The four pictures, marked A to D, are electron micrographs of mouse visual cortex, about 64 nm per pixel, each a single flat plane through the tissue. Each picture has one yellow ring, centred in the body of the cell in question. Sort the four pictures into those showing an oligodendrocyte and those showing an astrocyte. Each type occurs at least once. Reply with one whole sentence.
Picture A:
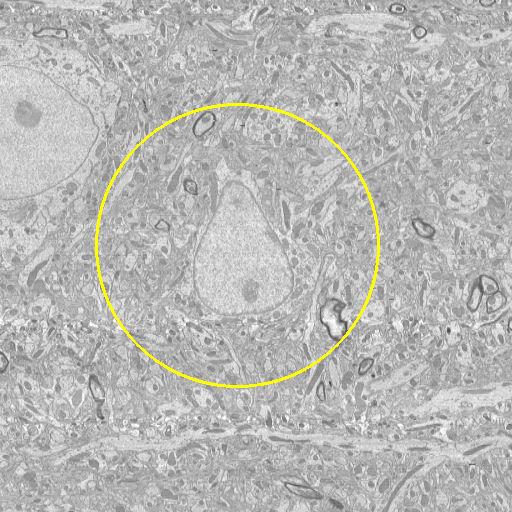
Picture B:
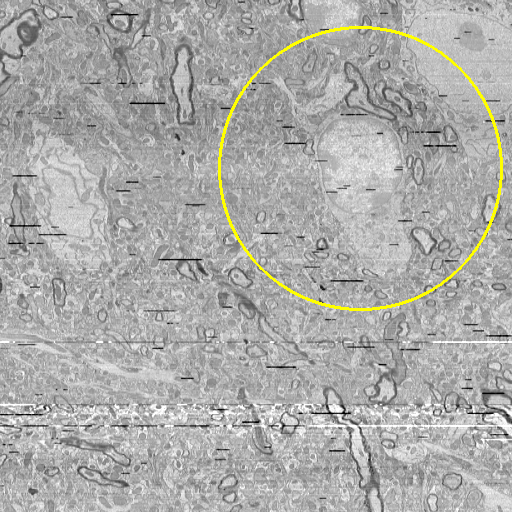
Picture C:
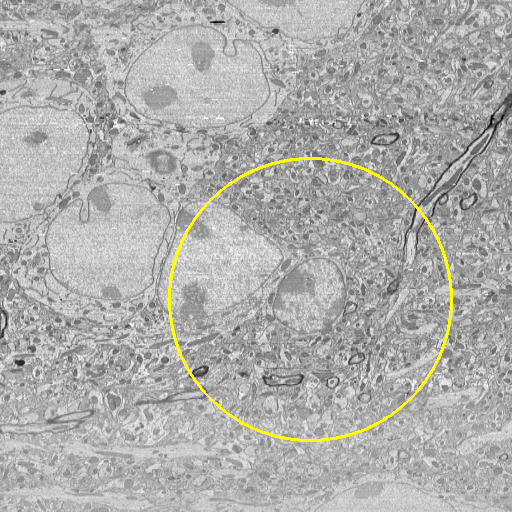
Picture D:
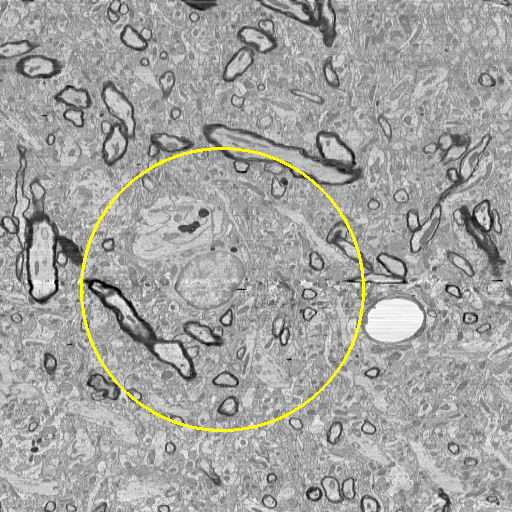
Pictures B, C and D show oligodendrocytes, and picture A shows an astrocyte.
